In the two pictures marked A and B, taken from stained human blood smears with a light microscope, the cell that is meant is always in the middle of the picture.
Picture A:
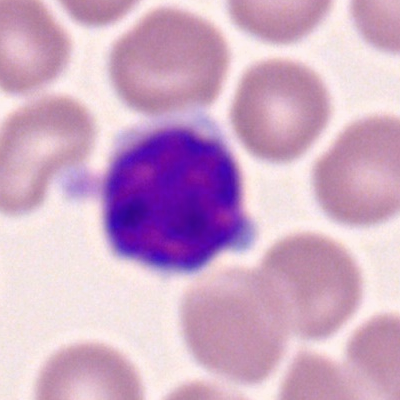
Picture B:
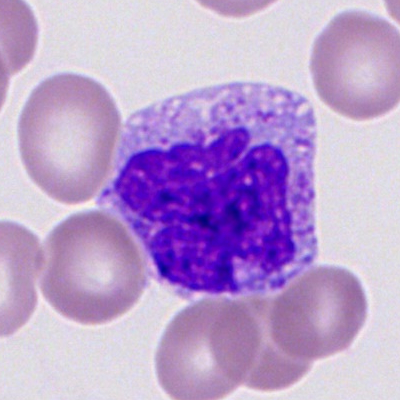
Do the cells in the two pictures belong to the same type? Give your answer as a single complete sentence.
No, the types are not the same, since picture A shows a lymphocyte and picture B a monocyte.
